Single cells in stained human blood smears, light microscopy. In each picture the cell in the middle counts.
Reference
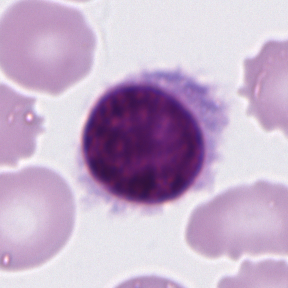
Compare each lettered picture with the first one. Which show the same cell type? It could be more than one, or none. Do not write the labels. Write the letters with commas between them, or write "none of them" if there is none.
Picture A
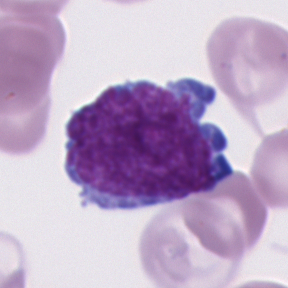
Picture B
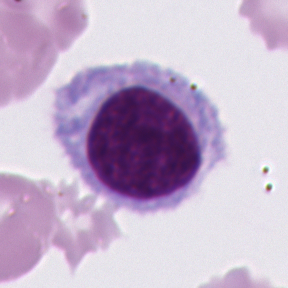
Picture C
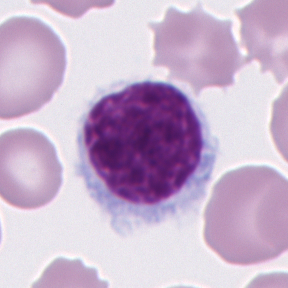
B, C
